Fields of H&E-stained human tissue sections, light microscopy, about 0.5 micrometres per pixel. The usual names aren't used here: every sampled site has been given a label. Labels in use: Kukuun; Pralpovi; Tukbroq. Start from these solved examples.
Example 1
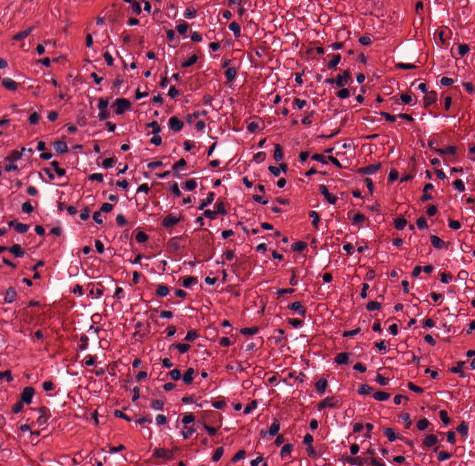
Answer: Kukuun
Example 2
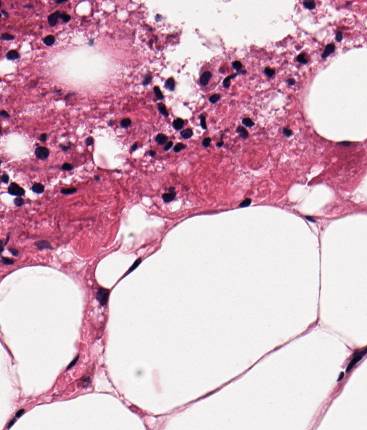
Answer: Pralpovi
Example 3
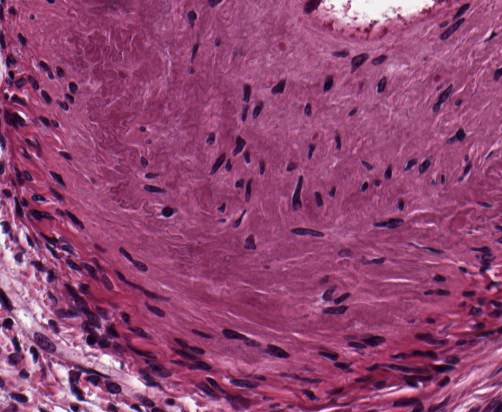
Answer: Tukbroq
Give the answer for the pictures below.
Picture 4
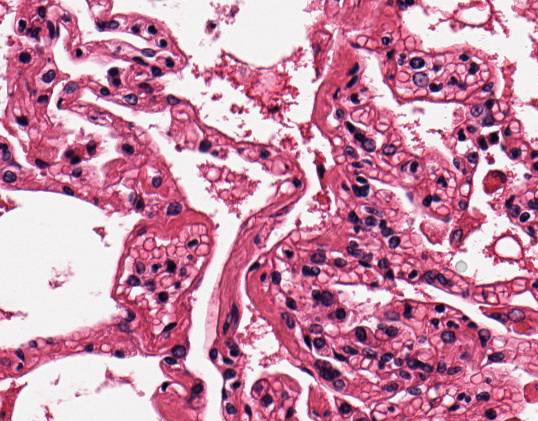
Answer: Kukuun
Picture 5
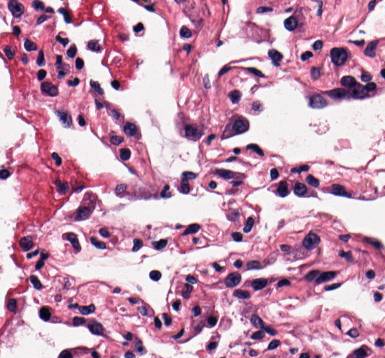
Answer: Kukuun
